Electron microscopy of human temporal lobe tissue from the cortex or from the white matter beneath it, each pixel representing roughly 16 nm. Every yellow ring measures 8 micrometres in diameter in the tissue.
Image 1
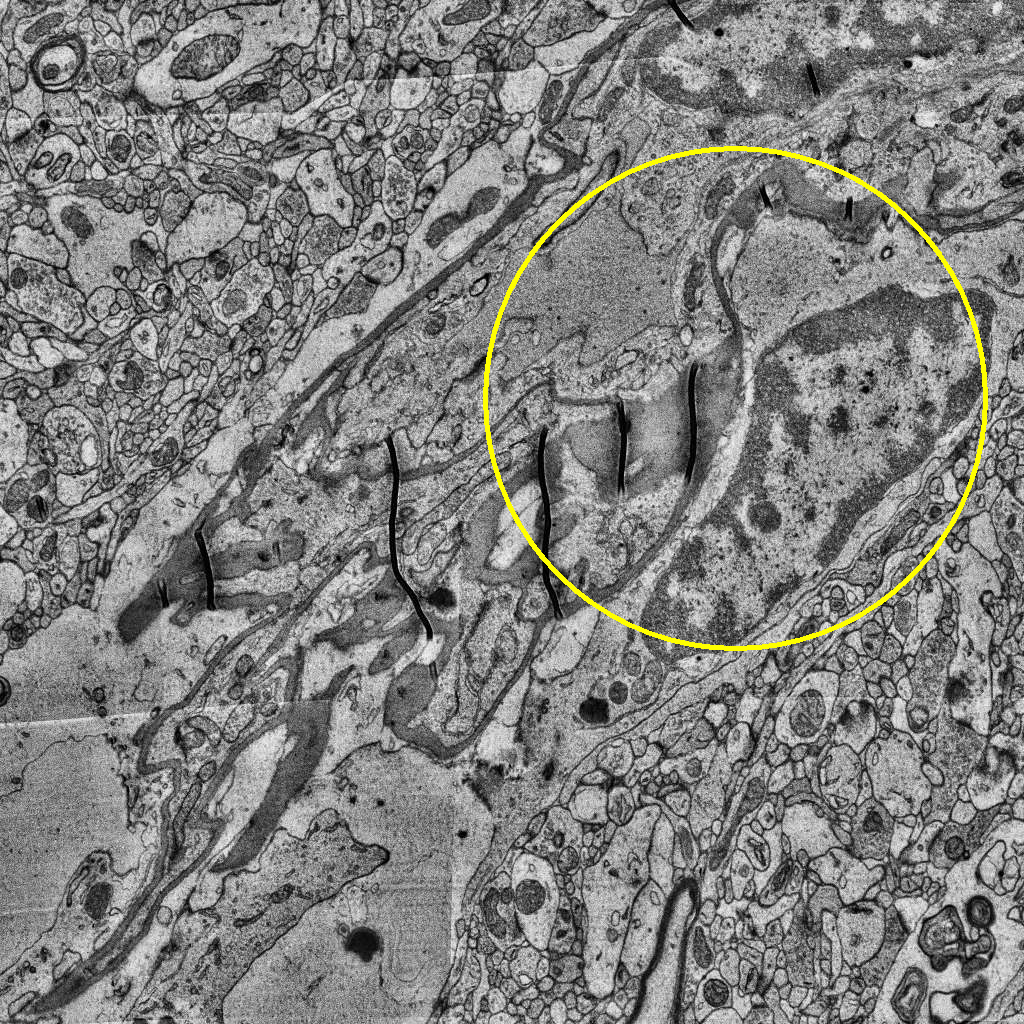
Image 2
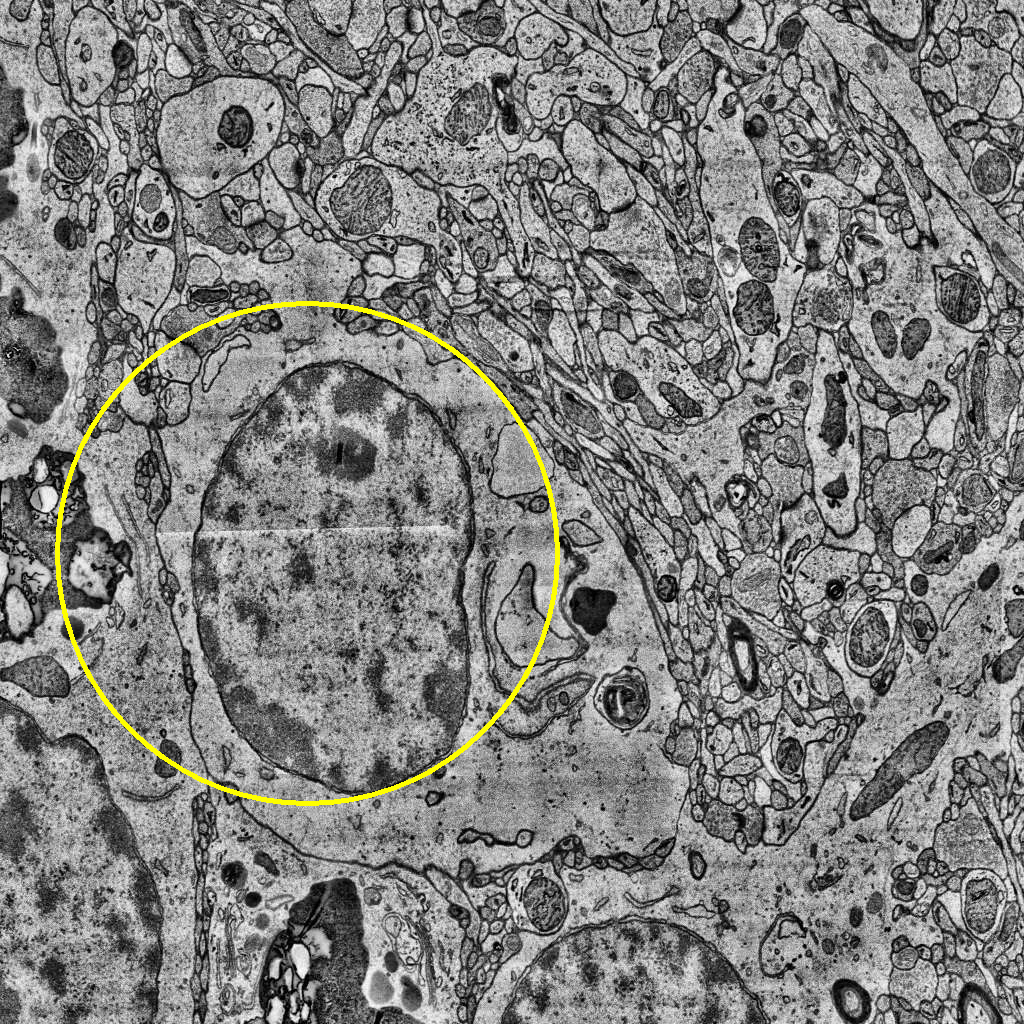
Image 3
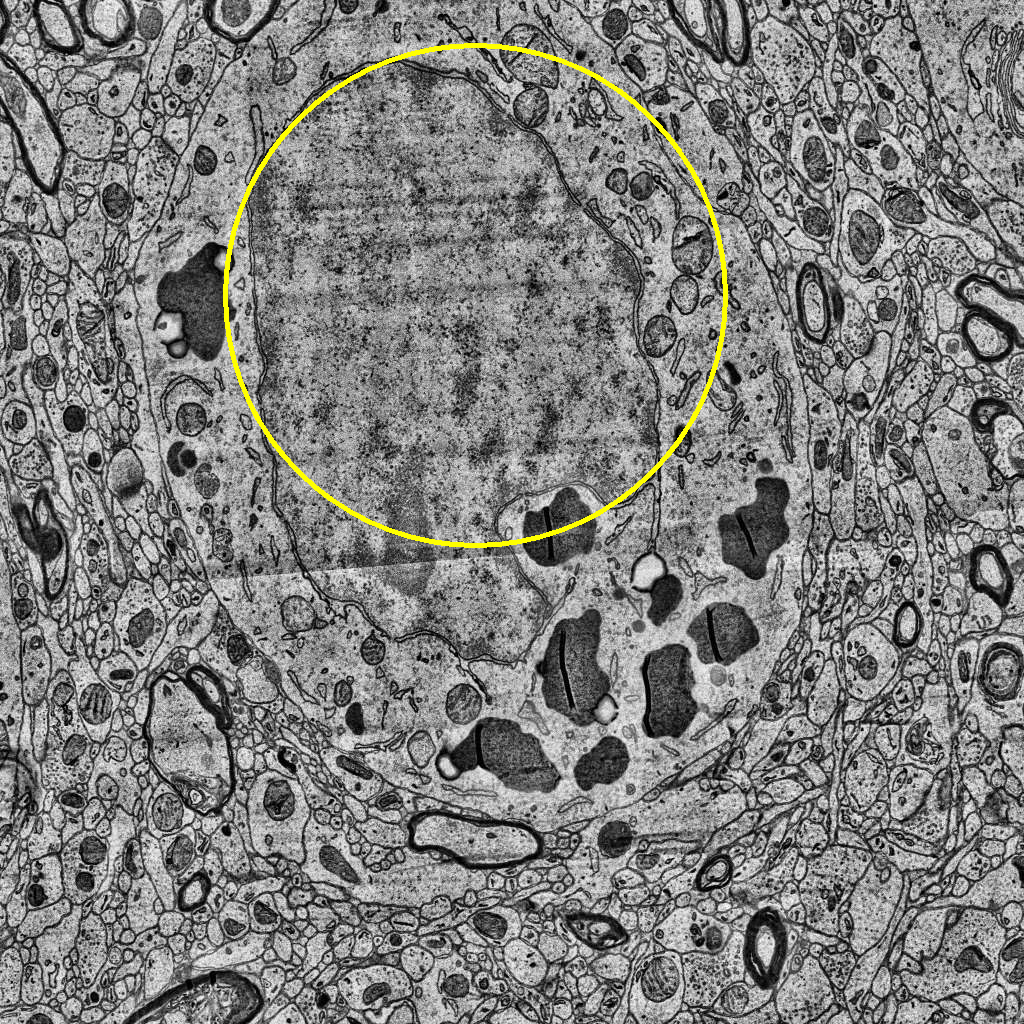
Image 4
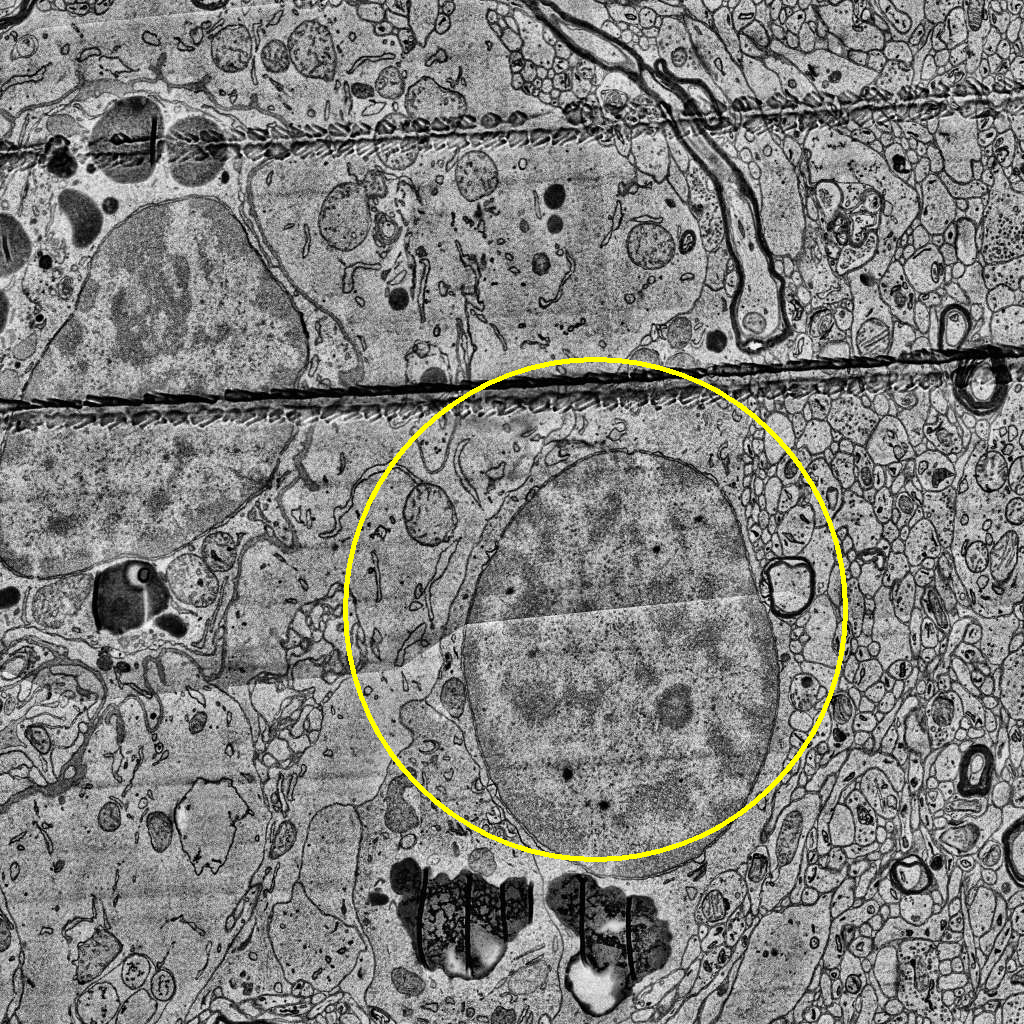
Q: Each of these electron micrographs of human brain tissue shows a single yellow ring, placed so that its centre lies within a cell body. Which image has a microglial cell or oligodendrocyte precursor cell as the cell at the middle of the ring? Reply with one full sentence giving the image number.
In image 1, the cell body containing the ring's centre is the requested one.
